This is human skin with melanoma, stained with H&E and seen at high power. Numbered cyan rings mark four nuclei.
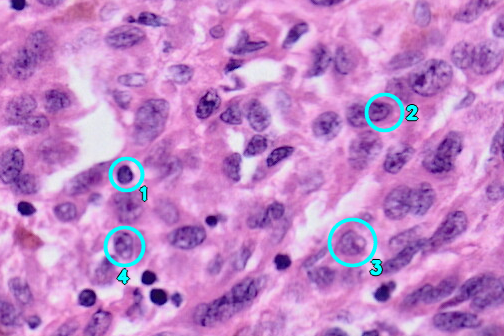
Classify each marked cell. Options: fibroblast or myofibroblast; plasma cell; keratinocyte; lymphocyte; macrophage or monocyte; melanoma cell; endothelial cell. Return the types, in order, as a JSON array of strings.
["lymphocyte", "melanoma cell", "melanoma cell", "melanoma cell"]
